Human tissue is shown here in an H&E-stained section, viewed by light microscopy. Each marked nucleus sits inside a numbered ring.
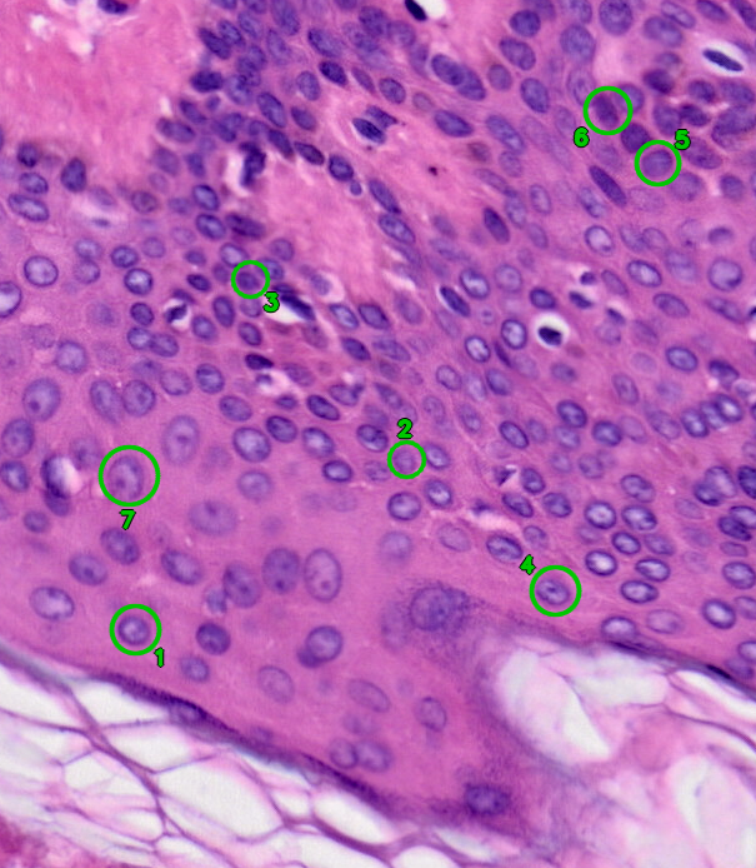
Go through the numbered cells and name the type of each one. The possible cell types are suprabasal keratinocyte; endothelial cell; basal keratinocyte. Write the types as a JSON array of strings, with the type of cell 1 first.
["suprabasal keratinocyte", "suprabasal keratinocyte", "basal keratinocyte", "suprabasal keratinocyte", "basal keratinocyte", "basal keratinocyte", "suprabasal keratinocyte"]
